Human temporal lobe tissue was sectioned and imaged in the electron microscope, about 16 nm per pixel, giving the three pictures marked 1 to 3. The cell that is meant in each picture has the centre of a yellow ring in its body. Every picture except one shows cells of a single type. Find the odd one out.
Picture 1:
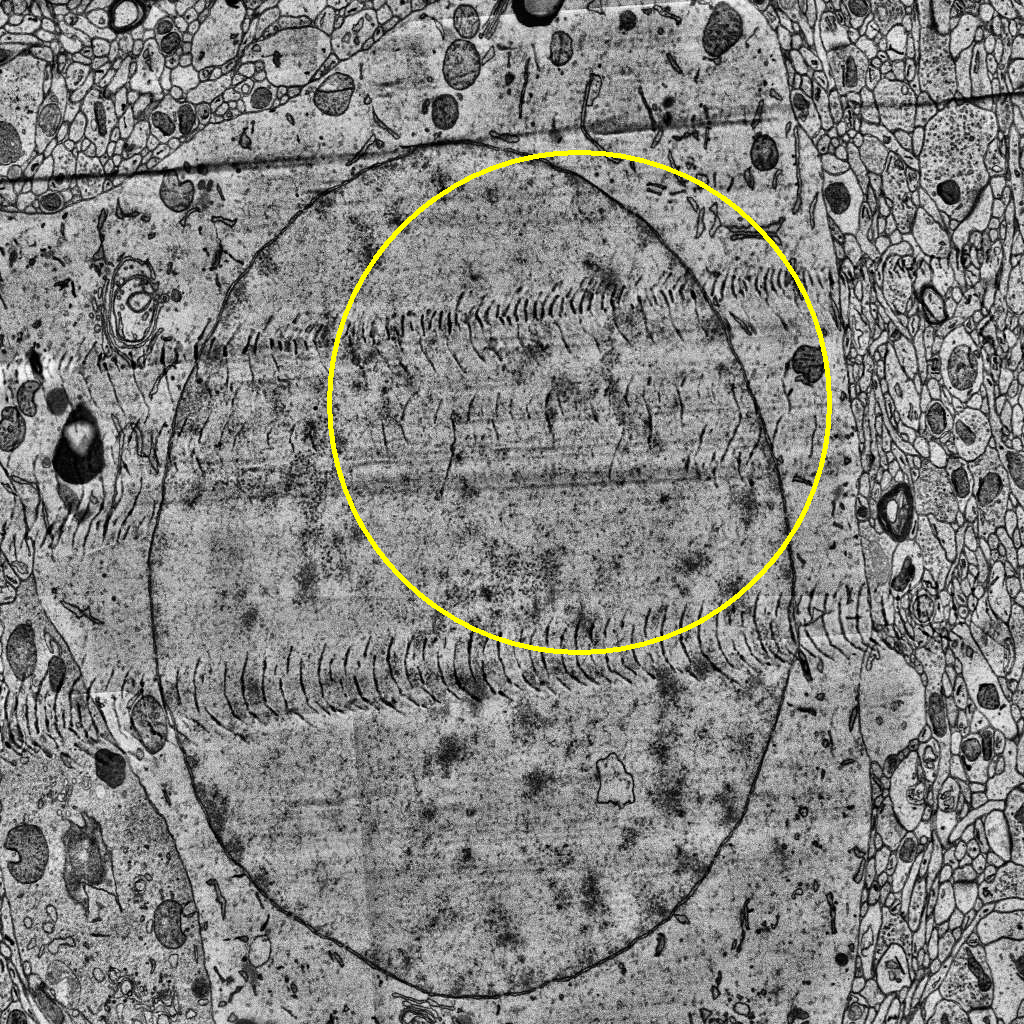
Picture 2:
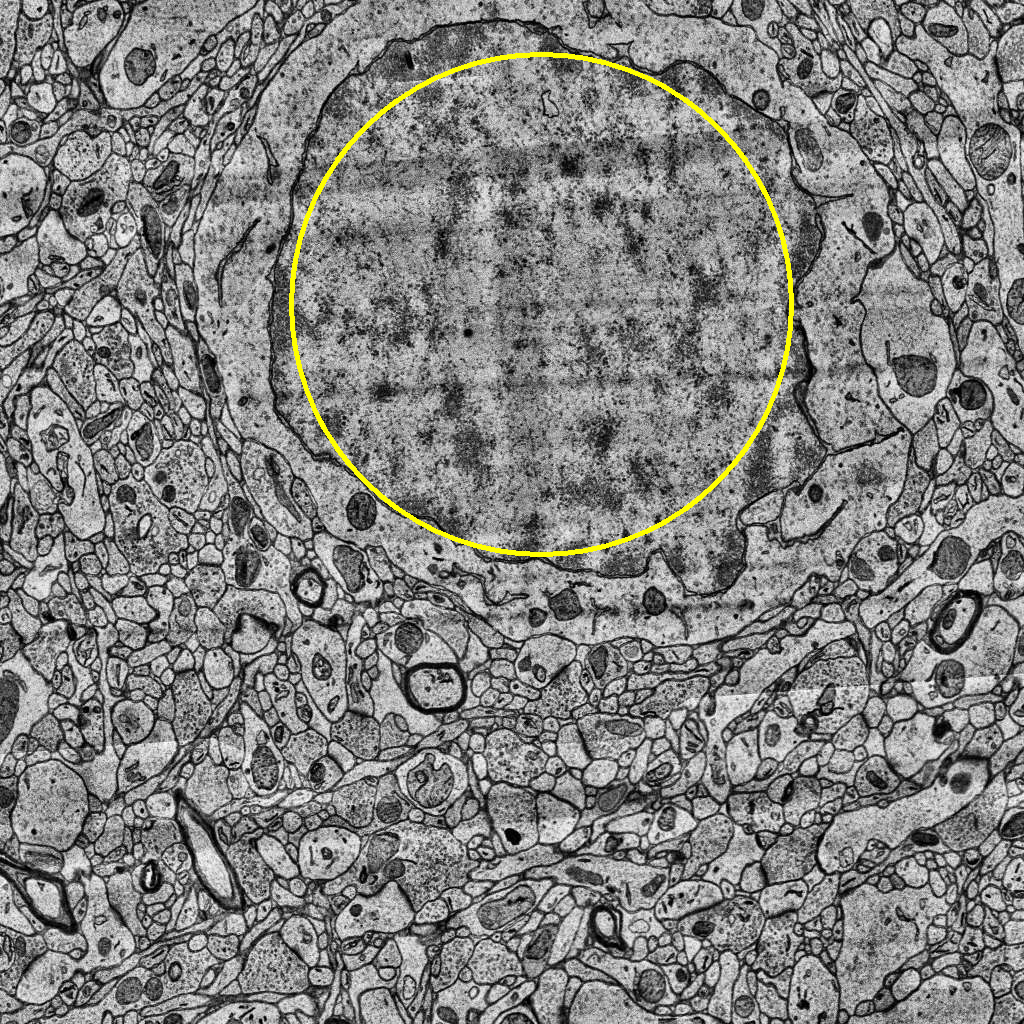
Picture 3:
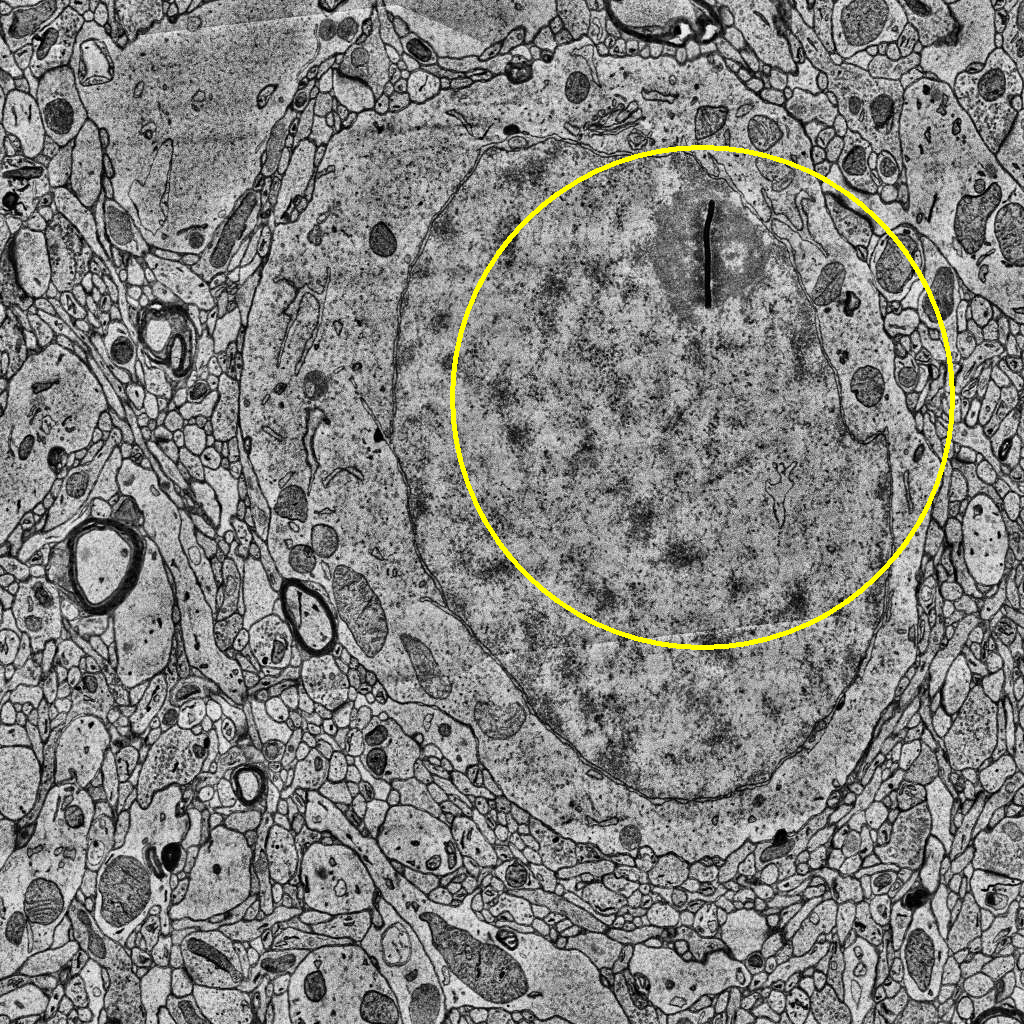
The different one is picture 1; it shows a pyramidal neuron, whereas all the others show interneurons.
